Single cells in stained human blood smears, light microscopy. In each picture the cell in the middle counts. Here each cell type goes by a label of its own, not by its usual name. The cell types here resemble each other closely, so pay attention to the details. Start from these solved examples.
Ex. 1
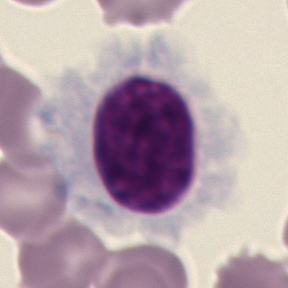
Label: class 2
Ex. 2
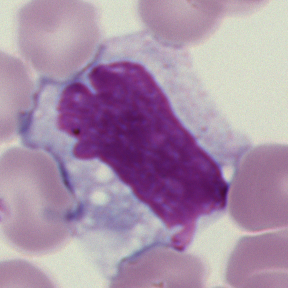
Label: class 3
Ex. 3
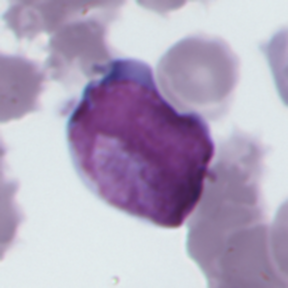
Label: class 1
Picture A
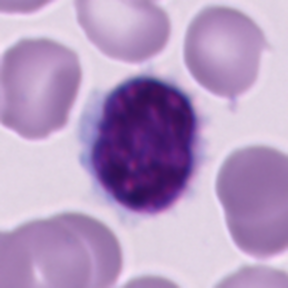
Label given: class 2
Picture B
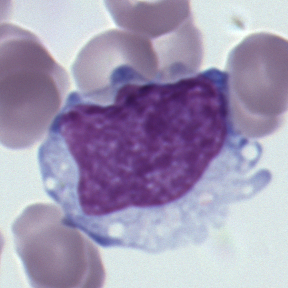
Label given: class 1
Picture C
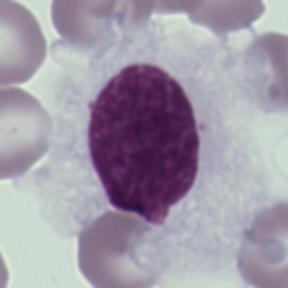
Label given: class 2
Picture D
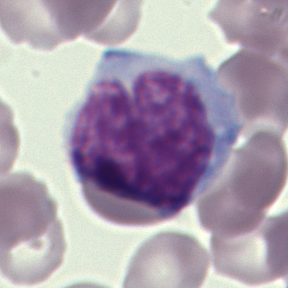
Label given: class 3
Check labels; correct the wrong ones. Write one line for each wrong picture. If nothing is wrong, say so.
D: change class 3 to class 1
